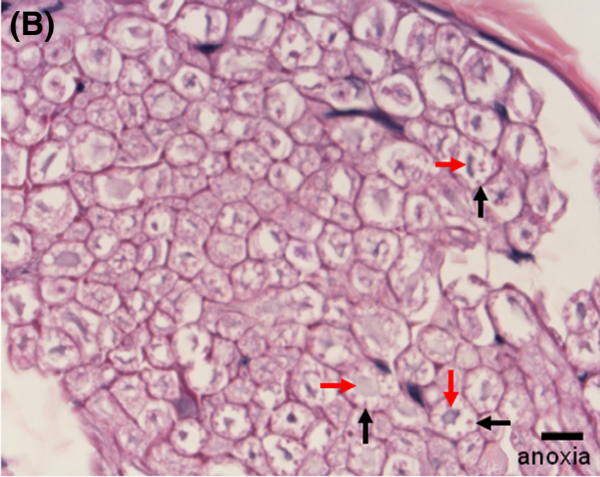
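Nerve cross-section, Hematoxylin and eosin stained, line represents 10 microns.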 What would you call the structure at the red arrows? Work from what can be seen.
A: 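Each core sits inside a surrounding pink ring.
Axonal structure.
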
